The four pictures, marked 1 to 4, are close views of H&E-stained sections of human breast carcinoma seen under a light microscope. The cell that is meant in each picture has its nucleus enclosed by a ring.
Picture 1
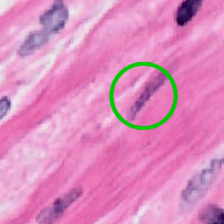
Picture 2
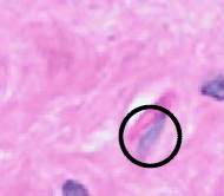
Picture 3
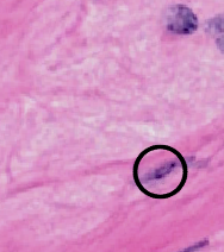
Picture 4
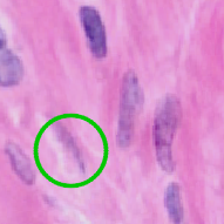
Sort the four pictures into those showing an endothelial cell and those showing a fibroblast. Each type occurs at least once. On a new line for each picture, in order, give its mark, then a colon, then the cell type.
1: fibroblast
2: endothelial cell
3: fibroblast
4: fibroblast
